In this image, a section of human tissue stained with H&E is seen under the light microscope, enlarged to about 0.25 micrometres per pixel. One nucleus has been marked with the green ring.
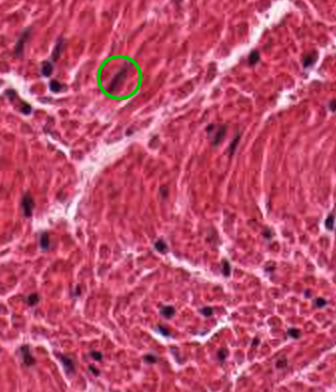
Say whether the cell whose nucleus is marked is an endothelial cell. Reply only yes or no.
no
